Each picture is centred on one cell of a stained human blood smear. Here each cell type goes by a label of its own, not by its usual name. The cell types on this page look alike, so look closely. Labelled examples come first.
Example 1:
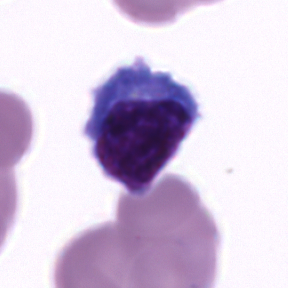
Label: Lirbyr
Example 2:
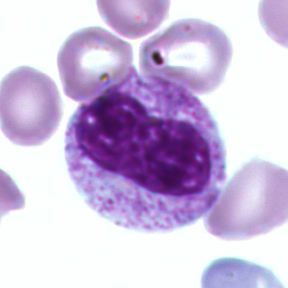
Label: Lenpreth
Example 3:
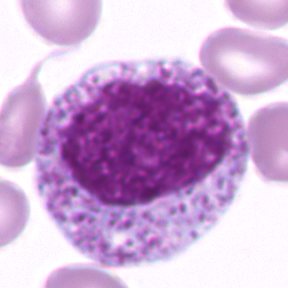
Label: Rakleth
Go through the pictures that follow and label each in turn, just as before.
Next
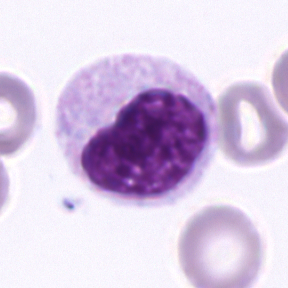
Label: Lenpreth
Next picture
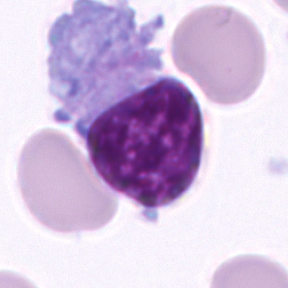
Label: Lirbyr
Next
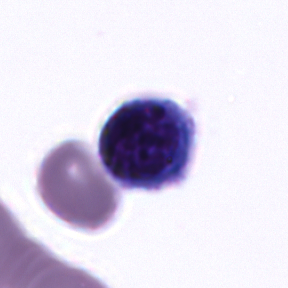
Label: Lirbyr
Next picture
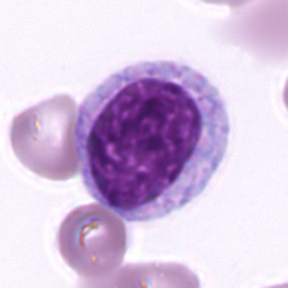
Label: Rakleth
